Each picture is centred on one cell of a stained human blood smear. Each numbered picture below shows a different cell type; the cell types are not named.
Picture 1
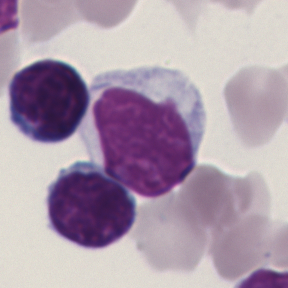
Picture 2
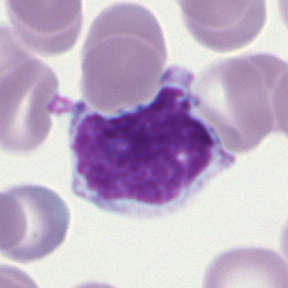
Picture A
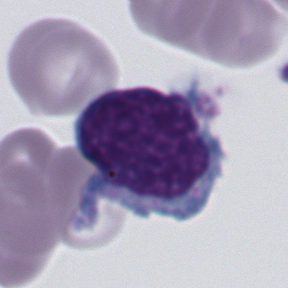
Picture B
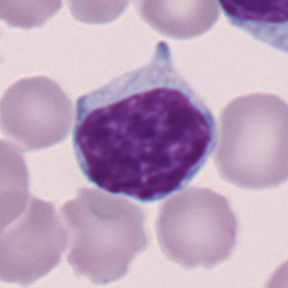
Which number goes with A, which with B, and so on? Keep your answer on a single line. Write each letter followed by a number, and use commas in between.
A 2, B 2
